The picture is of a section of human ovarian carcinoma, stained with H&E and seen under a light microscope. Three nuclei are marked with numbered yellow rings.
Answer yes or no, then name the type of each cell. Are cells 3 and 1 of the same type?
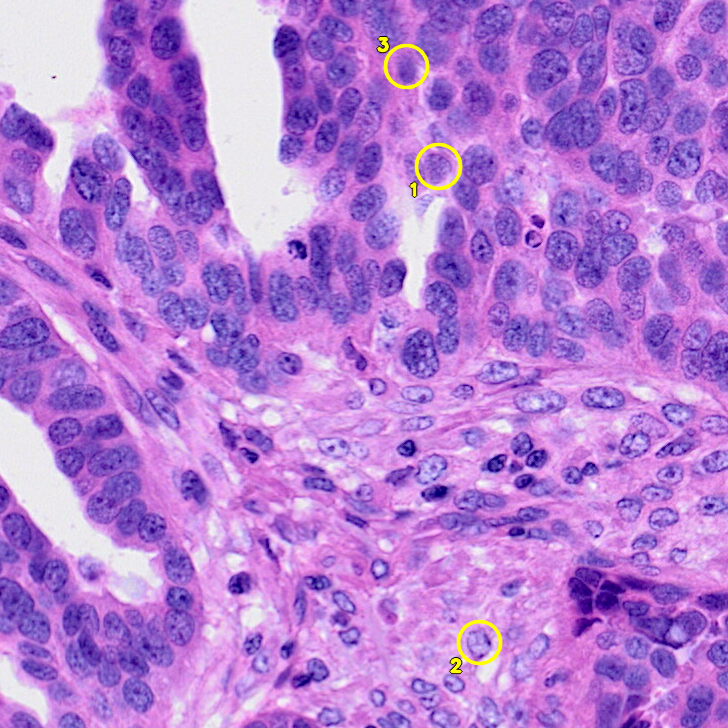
Yes, both are carcinoma cells.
